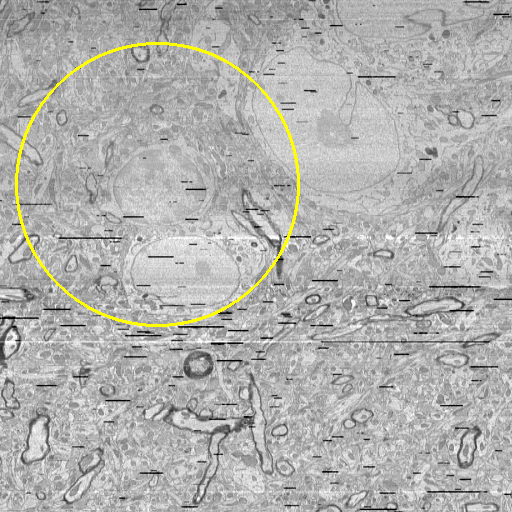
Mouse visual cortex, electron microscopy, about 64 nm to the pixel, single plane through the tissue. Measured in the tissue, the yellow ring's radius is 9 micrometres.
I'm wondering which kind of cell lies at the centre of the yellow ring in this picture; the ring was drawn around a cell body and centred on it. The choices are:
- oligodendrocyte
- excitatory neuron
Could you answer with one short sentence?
At the centre of the ring lies an oligodendrocyte.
